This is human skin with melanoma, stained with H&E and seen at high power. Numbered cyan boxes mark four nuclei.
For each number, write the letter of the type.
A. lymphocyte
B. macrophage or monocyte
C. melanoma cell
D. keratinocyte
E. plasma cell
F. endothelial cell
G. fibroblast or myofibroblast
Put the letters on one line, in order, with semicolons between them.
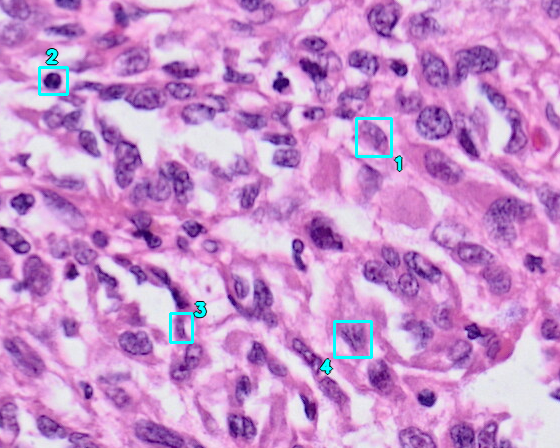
C; A; C; C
